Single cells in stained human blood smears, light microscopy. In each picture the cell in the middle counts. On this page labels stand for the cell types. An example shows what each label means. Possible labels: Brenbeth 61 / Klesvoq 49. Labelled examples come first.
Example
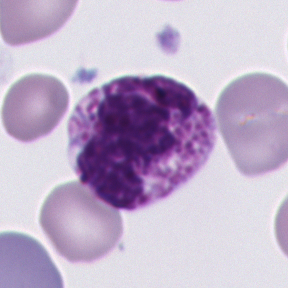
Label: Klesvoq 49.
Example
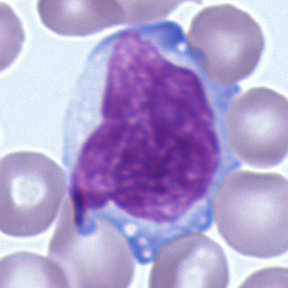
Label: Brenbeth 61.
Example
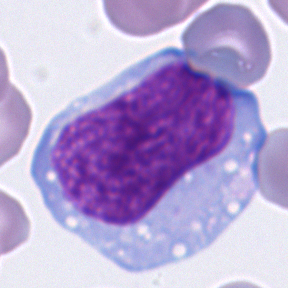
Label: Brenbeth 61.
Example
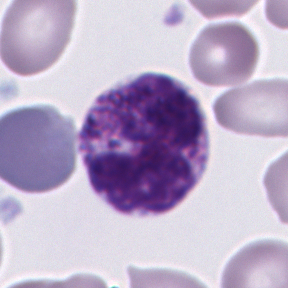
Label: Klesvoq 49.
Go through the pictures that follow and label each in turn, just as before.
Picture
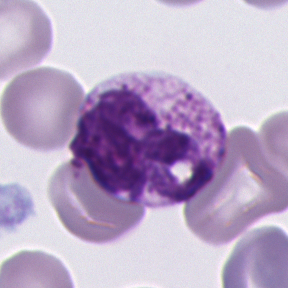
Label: Klesvoq 49.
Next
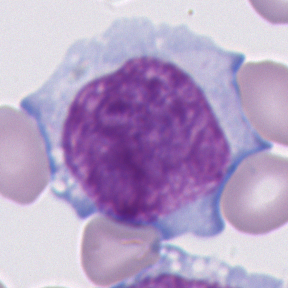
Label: Brenbeth 61.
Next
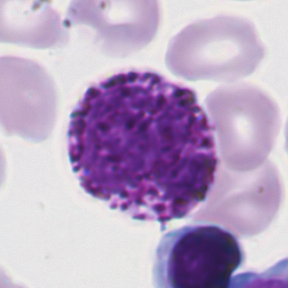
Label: Klesvoq 49.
